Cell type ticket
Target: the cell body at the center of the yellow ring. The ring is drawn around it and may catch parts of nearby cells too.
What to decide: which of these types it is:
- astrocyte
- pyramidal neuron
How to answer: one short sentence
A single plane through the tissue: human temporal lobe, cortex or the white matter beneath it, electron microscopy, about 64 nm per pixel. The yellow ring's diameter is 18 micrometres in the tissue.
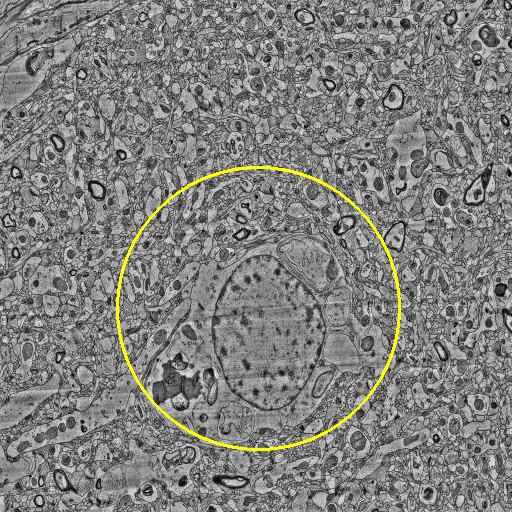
The cell at the center of the ring is an astrocyte.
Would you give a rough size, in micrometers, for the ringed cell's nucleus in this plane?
About 10 micrometres by about 7 micrometres in this plane.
